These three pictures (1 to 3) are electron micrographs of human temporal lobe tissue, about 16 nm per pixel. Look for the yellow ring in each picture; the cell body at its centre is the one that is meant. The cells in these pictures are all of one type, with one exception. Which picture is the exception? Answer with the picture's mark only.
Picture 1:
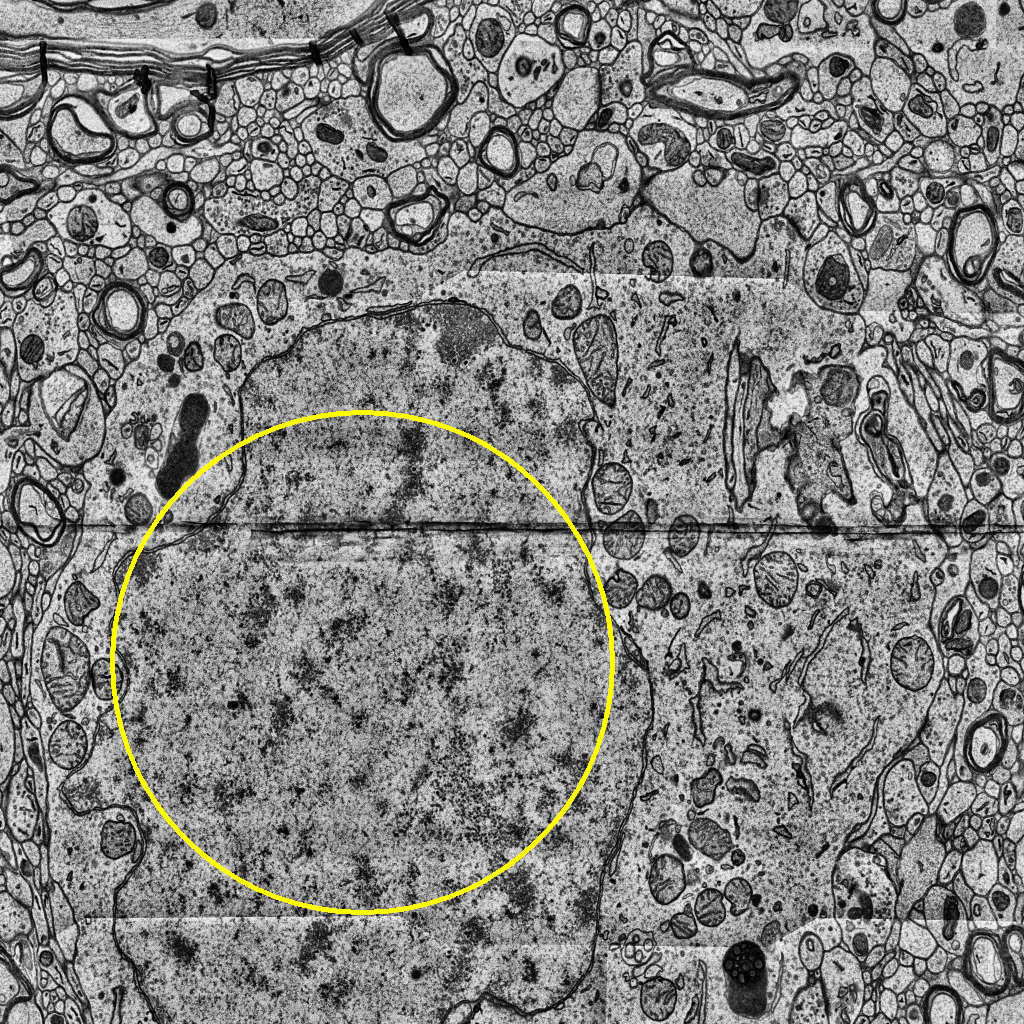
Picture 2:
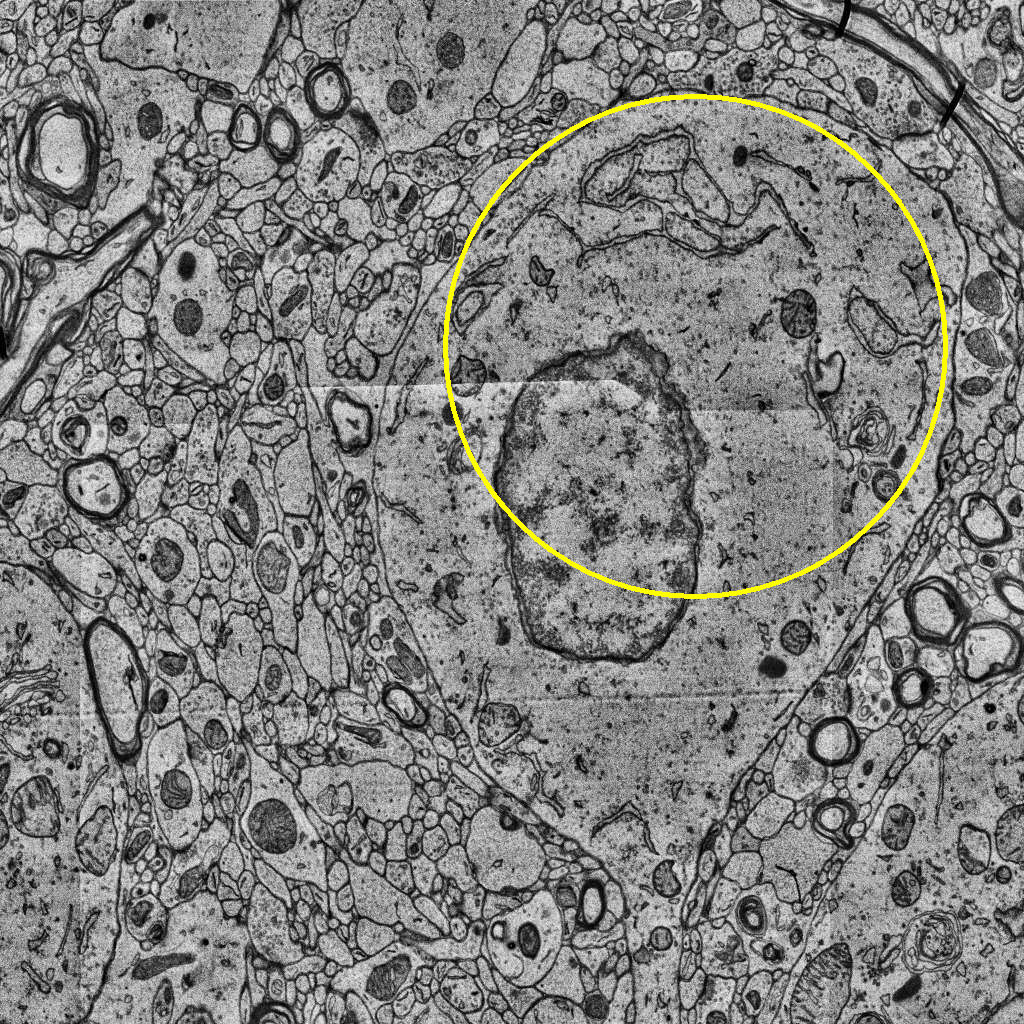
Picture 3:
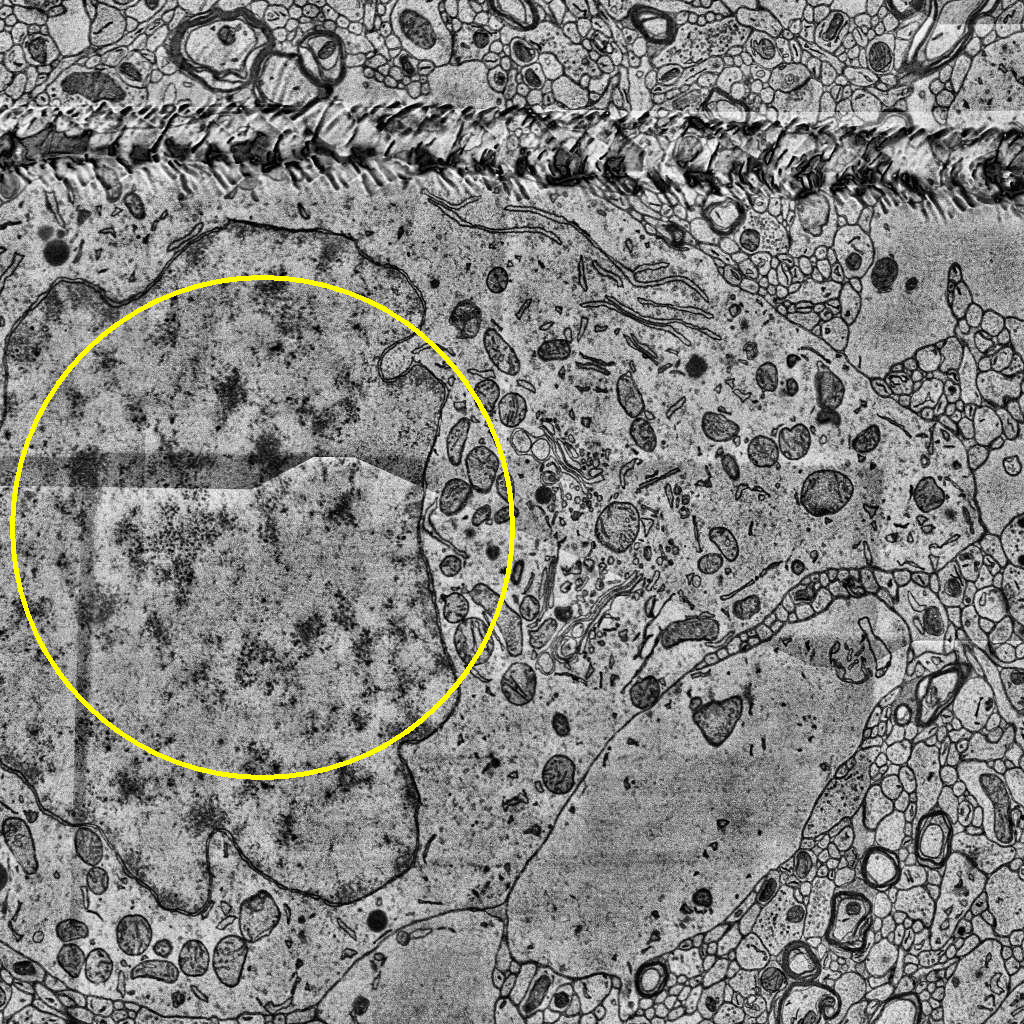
2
